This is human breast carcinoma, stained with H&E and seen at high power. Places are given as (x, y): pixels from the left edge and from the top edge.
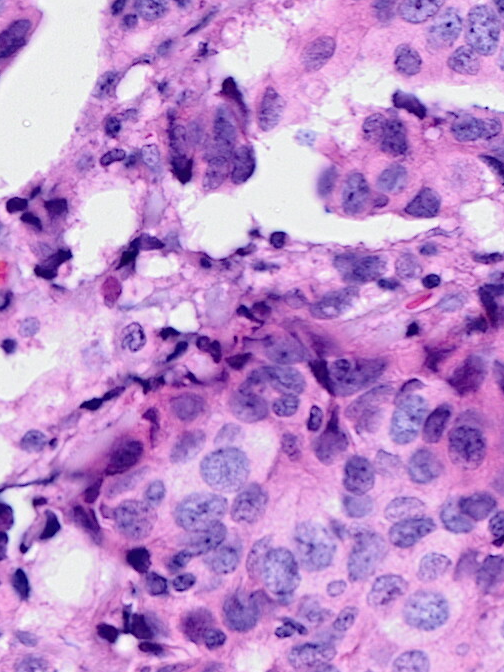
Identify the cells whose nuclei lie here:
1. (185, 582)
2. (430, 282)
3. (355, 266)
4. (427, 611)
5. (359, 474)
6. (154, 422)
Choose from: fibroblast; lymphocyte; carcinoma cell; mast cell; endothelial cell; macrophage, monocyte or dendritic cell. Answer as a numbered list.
1. lymphocyte
2. lymphocyte
3. carcinoma cell
4. carcinoma cell
5. carcinoma cell
6. carcinoma cell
